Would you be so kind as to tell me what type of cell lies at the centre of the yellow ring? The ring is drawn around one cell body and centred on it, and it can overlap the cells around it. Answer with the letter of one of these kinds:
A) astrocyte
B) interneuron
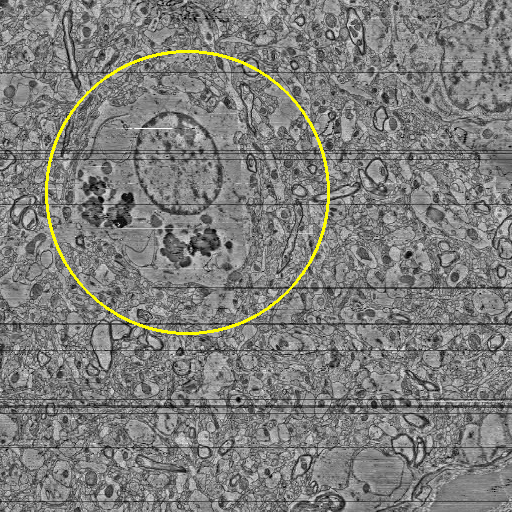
A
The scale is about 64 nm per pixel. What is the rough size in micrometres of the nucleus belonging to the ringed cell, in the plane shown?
Roughly 6 micrometers across in this plane.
